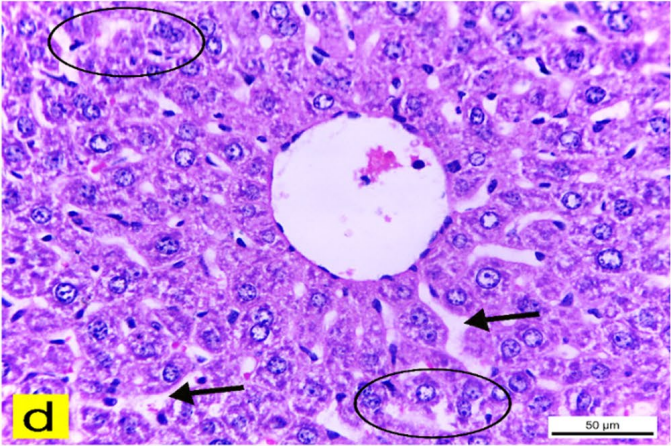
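This is liver tissue centred on a wide, mostly empty central vein with a little pink material in its lumen. Around it lie hepatocytes, polygonal cells with pink-purple cytoplasm and round, pale nuclei with distinct nucleoli; some cells have two nuclei. Between the plates of hepatocytes run clear spaces, several of which are noticeably widened. Flattened dark nuclei lining these spaces belong to the cells of the sinusoid walls. In places the hepatocytes lose their orderly rows radiating from the vein and lie irregularly.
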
